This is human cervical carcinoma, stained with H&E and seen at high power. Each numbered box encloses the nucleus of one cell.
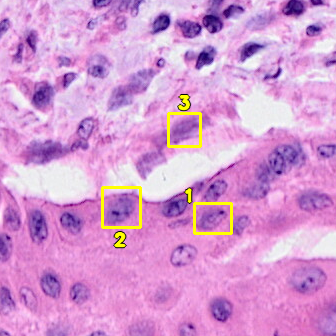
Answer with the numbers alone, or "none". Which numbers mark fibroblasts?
3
